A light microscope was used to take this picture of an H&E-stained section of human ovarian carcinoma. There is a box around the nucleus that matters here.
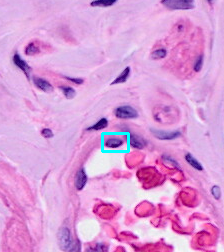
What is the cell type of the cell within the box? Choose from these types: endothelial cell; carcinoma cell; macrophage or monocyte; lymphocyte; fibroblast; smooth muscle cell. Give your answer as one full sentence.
In this section, the cell within the box is an endothelial cell.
